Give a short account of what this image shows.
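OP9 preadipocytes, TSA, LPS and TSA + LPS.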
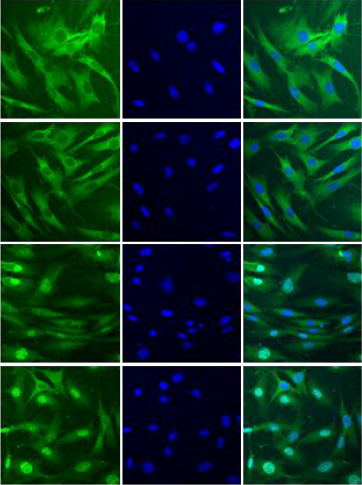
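In the upper rows the green stain fills the cytoplasm and processes while the nuclei appear as darker holes. In the lower rows the green is concentrated over the nuclei, which glow brightly against a fainter cytoplasm.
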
